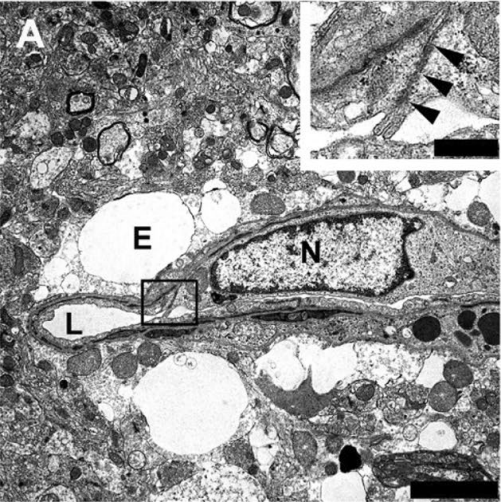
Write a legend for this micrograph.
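This electron micrograph shows a brain capillary cut lengthwise, with a narrow lumen lined by a thin endothelial cell. The endothelial nucleus is elongated and lies along the vessel wall, with its dense chromatin gathered at the nuclear rim. Around the vessel lies neuropil packed with mitochondria, small cell processes and a few myelinated axons with dark rings. Large, rounded, electron-lucent spaces sit close to the vessel wall. A boxed area of the wall is enlarged in the inset, where arrowheads mark a close, dense junction between adjoining endothelial membranes.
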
